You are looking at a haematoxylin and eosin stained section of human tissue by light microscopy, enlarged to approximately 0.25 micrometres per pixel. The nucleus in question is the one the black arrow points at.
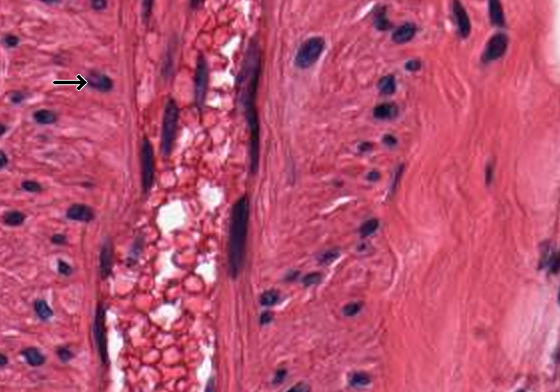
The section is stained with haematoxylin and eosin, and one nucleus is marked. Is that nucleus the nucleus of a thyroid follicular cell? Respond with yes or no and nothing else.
no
